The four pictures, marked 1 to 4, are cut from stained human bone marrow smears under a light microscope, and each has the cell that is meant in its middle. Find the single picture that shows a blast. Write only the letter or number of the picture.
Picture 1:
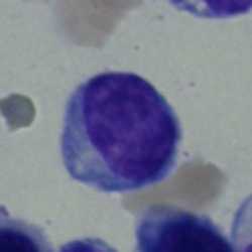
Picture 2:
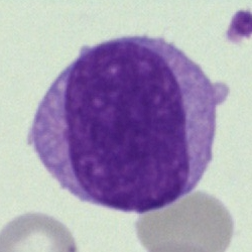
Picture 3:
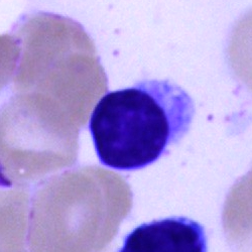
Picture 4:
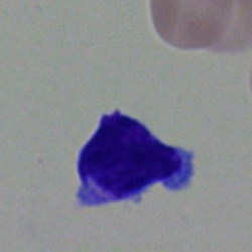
2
